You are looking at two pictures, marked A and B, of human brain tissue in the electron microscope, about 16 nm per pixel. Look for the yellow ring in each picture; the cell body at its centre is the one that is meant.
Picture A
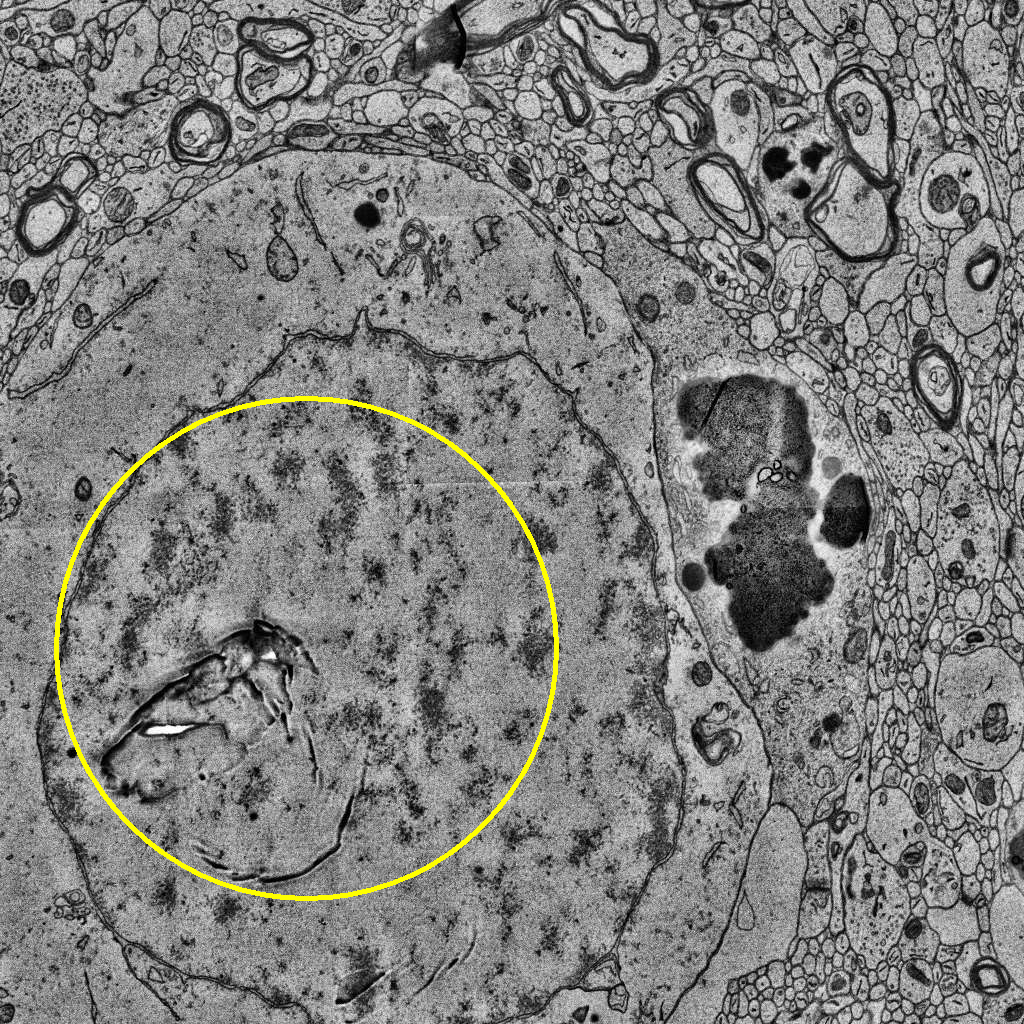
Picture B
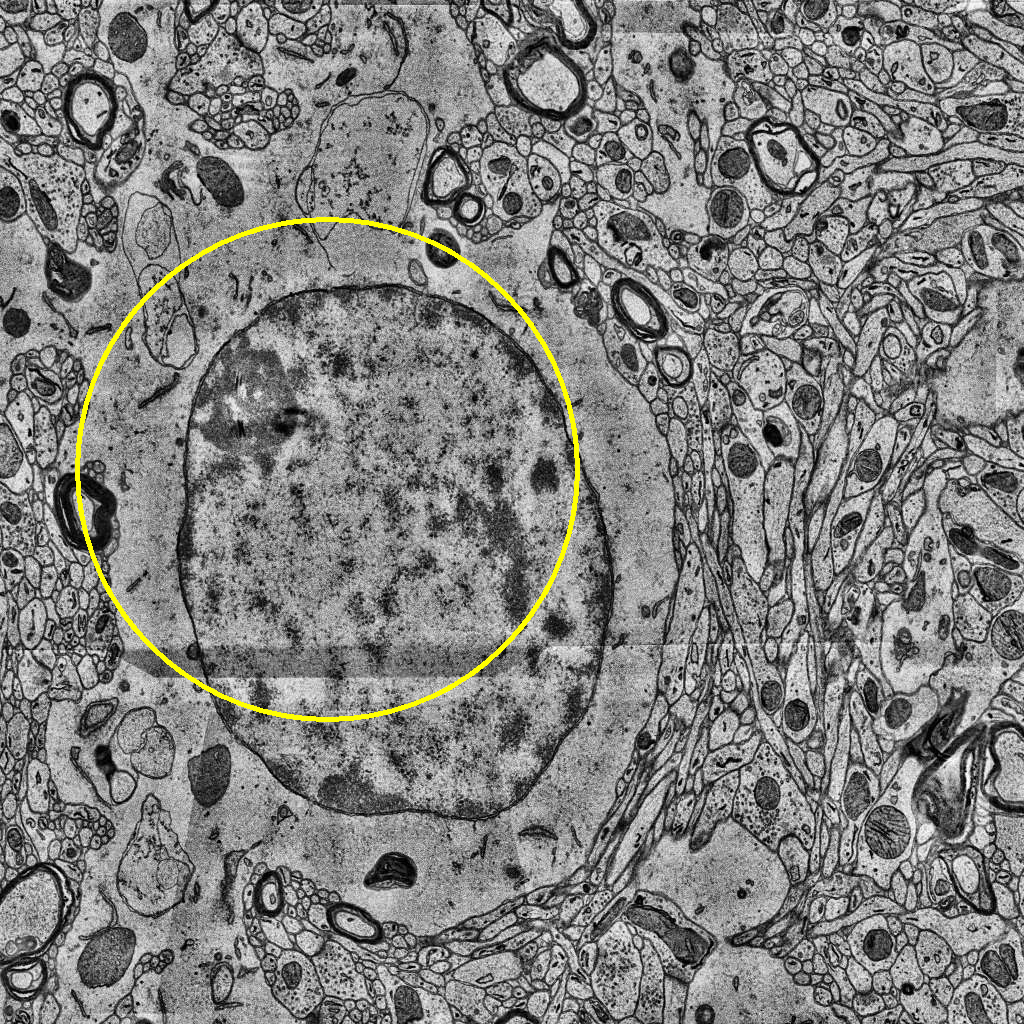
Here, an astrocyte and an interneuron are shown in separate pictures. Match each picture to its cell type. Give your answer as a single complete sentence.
The cell in picture A is an interneuron, and the one in picture B is an astrocyte.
